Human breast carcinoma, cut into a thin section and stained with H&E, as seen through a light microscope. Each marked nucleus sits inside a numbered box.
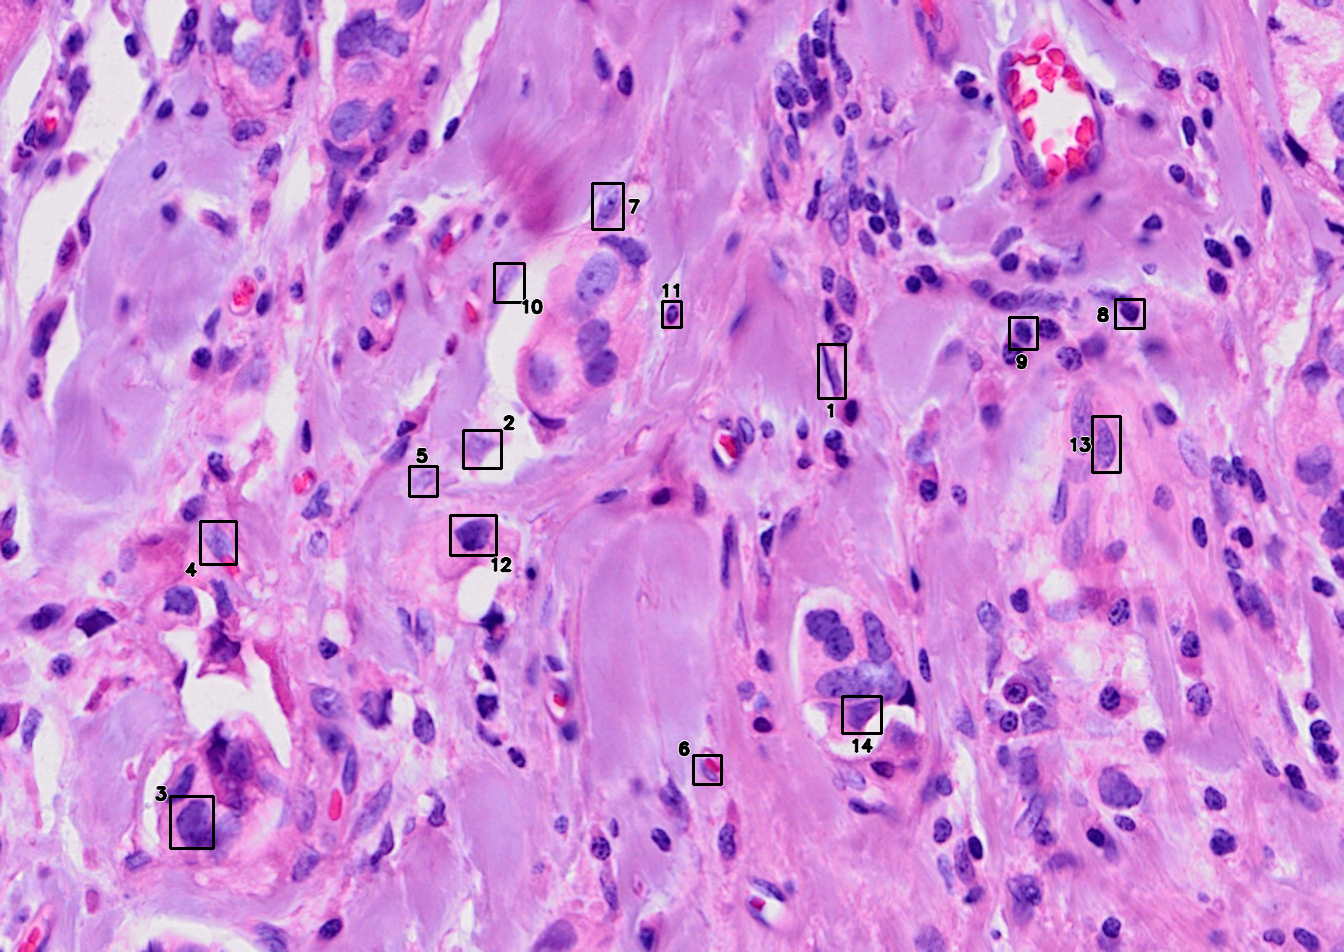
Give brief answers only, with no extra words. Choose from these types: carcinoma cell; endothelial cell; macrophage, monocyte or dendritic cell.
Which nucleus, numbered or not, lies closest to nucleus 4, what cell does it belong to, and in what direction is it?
a macrophage, monocyte or dendritic cell; above and to the left of nucleus 4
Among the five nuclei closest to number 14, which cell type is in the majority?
carcinoma cell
